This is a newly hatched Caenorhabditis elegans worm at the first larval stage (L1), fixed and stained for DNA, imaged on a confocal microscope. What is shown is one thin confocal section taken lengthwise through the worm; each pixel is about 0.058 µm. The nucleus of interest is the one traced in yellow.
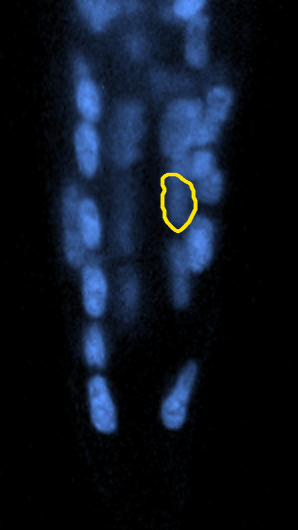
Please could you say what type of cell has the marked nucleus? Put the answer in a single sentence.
The marked nucleus belongs to a pharyngeal muscle cell.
